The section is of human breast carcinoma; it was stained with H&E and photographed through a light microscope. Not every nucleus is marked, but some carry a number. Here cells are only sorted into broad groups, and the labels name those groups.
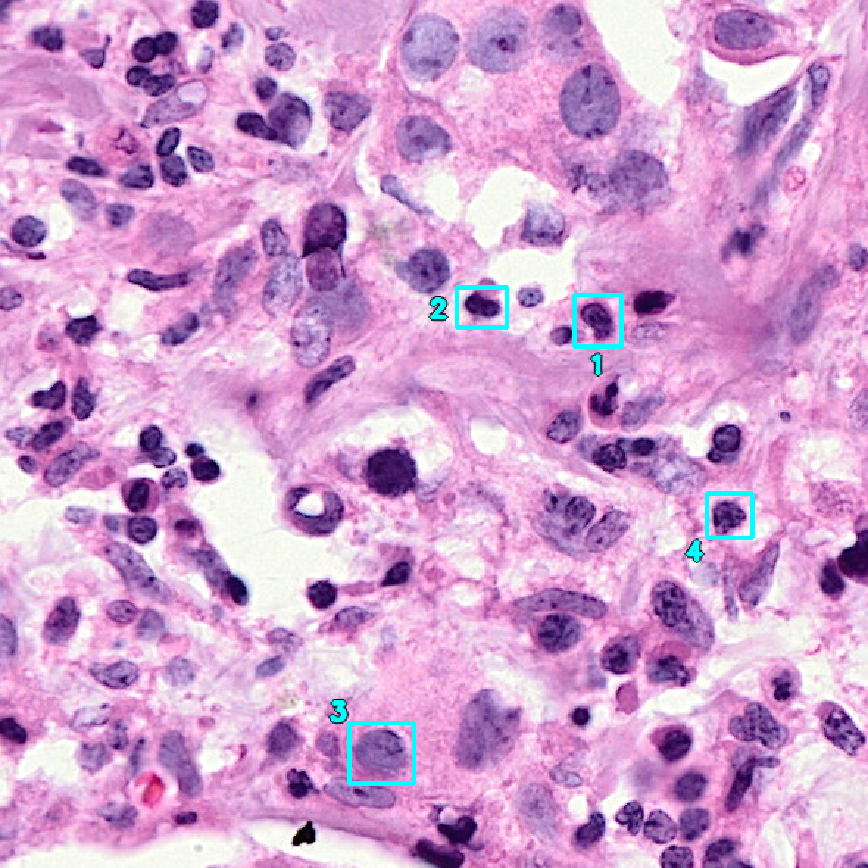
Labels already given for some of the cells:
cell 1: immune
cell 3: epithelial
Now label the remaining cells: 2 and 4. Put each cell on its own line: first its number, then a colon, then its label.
2: immune
4: immune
